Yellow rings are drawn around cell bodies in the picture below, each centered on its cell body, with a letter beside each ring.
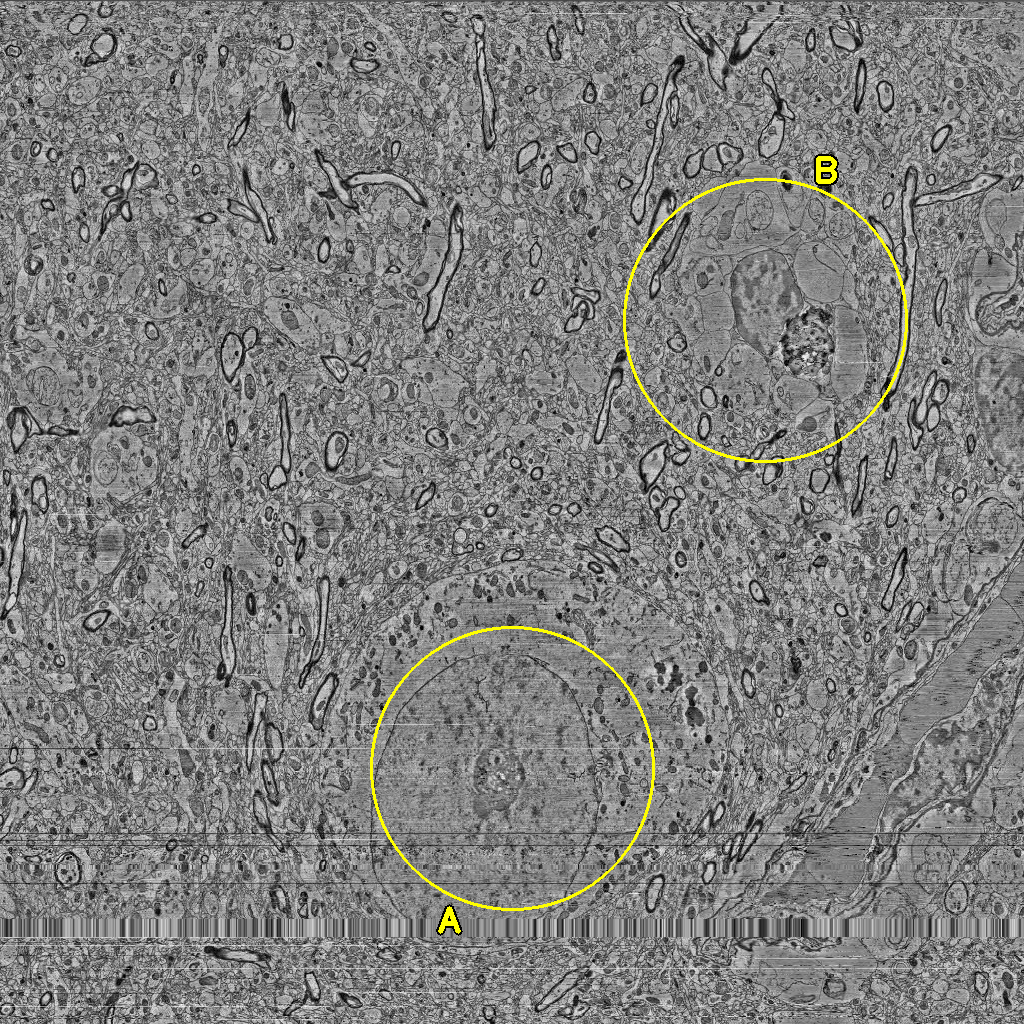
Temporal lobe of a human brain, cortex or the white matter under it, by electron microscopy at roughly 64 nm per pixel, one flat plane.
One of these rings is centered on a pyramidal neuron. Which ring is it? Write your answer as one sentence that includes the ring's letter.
It is ring A.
